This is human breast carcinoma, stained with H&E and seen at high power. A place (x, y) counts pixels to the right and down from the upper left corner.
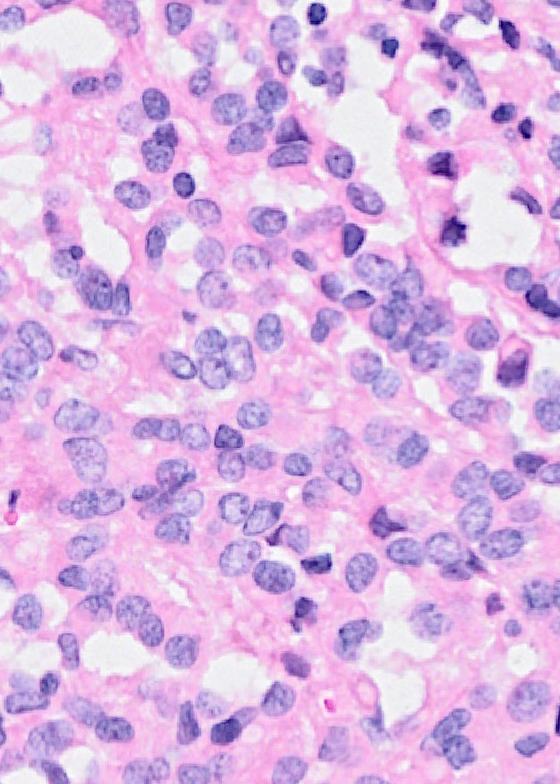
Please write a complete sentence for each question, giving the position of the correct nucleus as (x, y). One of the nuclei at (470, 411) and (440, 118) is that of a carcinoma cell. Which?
The pair contains one nucleus of a carcinoma cell, namely the one at (470, 411).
